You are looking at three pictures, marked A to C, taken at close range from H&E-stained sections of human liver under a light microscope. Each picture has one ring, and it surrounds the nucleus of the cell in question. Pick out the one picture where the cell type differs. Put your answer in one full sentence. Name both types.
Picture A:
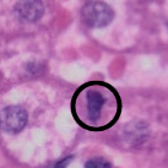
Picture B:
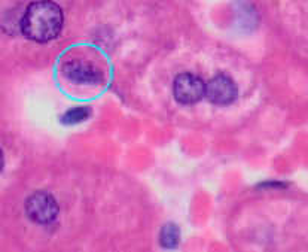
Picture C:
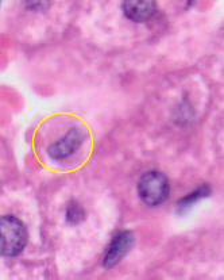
All pictures except C show “fibroblasts or stellate cells”; picture C shows a Kupffer cell.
